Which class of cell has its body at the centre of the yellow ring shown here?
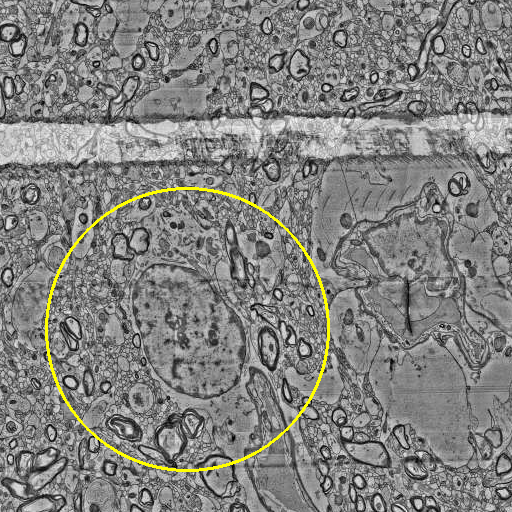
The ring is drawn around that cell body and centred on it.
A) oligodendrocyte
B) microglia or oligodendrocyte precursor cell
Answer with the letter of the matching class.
B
